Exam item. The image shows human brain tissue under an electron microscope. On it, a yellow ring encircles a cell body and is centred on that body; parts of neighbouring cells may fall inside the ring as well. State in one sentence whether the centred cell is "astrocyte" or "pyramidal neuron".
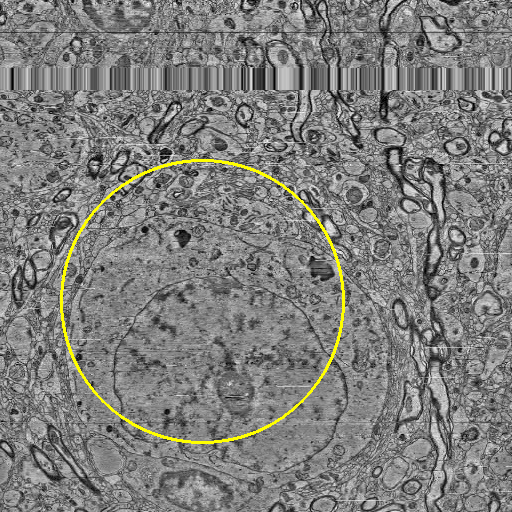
The cell body centred in the ring is a pyramidal neuron.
